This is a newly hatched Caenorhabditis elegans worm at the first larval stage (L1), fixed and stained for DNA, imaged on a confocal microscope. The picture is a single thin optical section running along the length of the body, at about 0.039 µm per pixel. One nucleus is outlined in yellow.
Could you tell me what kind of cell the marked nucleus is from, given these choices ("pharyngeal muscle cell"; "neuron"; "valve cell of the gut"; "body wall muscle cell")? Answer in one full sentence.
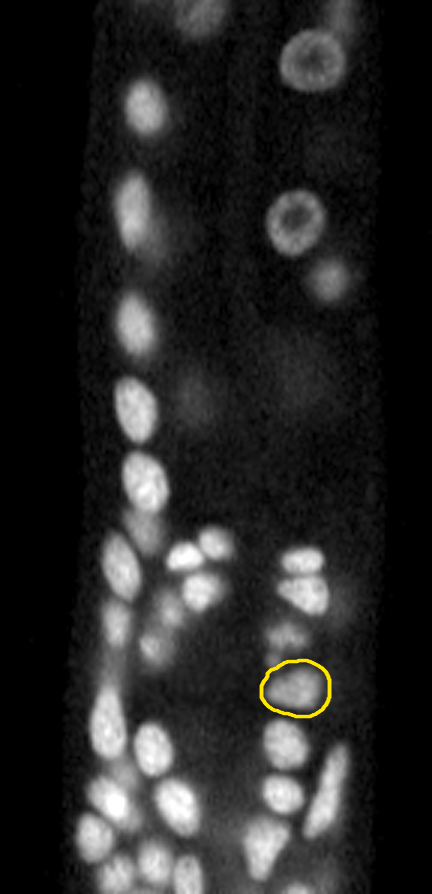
The marked nucleus is that of a pharyngeal muscle cell.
